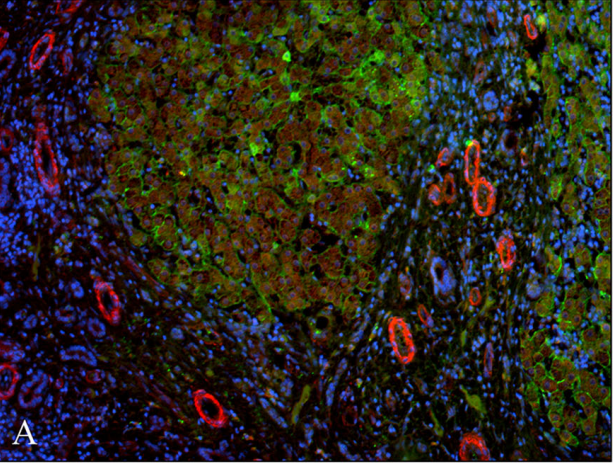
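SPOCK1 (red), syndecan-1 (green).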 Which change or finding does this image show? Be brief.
Cirrhotic remodeling of the liver structure.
